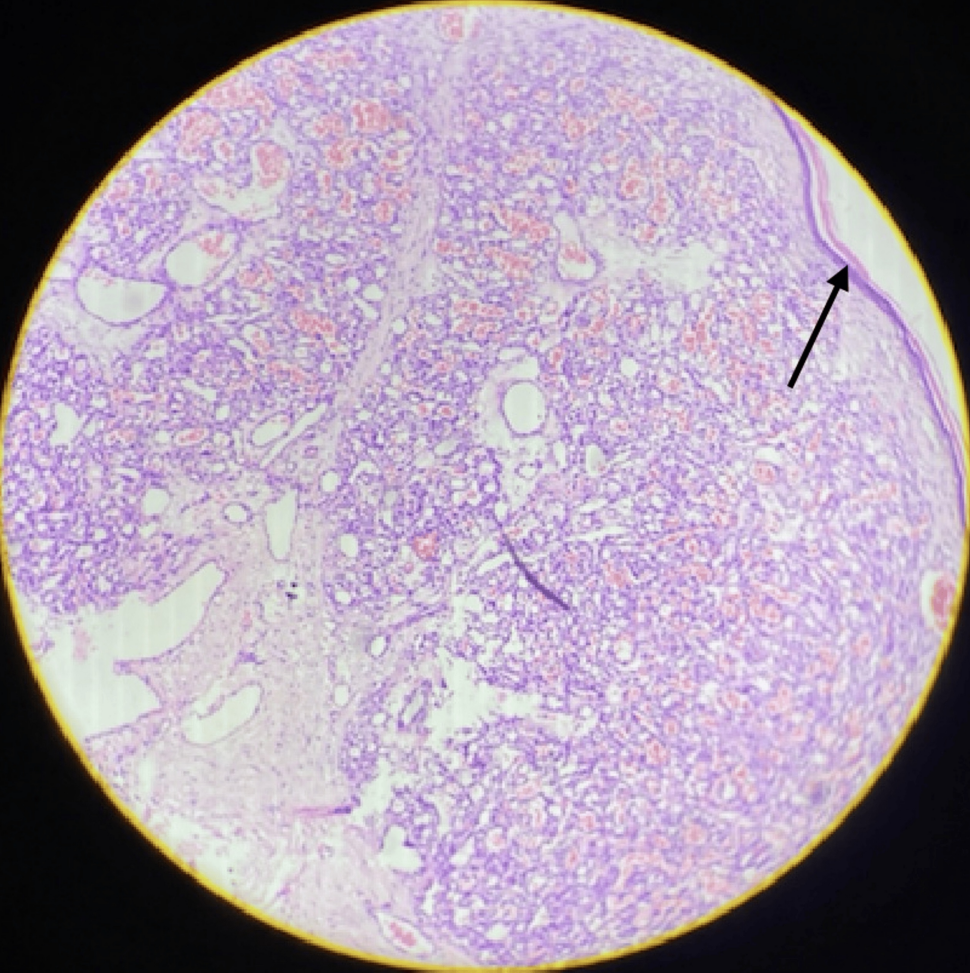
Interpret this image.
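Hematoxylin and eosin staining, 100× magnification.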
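A lesion made of many small vessels, packed closely in lobules. Many of the small channels hold pink-red red blood cells and are lined by purple-nucleated cells. Pale pink fibrous bands run between the lobules, and a few larger, dilated vessels lie within them. Along the upper right edge, a thin, layered pink band borders the lesion.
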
